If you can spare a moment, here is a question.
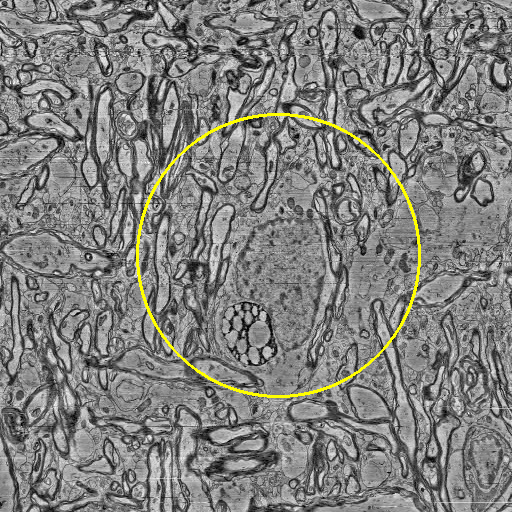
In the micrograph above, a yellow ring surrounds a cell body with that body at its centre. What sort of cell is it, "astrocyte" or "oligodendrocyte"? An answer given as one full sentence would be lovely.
Centred inside the yellow ring, the cell body shown belongs to an astrocyte in this micrograph.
